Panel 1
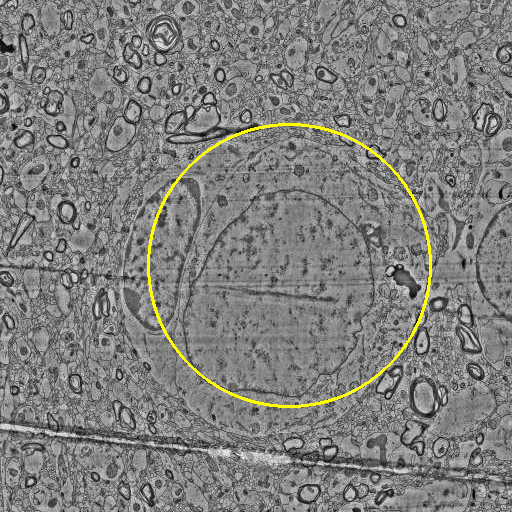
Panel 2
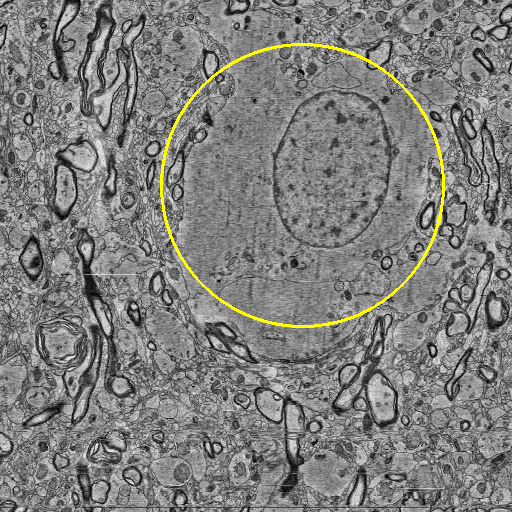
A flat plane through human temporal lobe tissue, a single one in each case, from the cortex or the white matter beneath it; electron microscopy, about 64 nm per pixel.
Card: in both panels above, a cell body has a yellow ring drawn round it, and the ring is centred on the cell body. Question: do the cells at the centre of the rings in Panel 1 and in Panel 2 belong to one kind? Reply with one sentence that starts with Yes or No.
No, the cells centred in the rings of Panel 1 and Panel 2 are two kinds of cell.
